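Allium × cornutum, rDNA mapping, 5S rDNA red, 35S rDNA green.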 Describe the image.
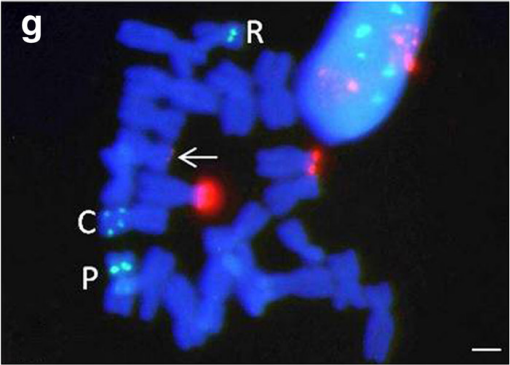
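A crowded spread of blue-stained condensed mitotic chromosomes fills most of the field, with a large rounded interphase nucleus at the upper right edge containing scattered red and green dots. The chromosomes overlap and are packed tightly, making individual outlines harder to follow. A large bright red block sits on one chromosome near the centre, and a smaller paired red spot lies on a chromosome to the right. Clusters of small green dots appear on three separate chromosomes at the upper, left and lower-left parts of the spread. An arrow points at a medium-sized chromosome bearing only a tiny, barely visible dot.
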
